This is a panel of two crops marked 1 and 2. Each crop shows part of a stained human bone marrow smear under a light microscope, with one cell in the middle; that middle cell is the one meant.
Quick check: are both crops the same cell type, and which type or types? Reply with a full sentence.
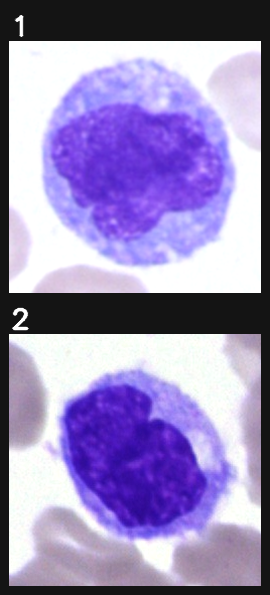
Yes, both the first crop and the second crop show monocytes.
